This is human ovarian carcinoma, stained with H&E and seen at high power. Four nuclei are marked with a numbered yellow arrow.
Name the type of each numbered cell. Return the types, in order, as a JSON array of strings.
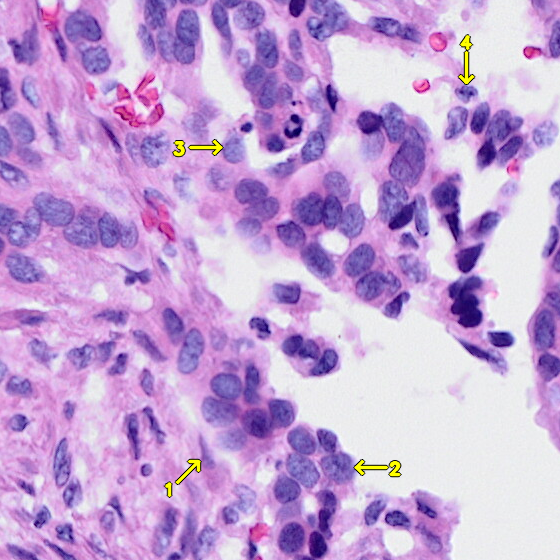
["fibroblast", "carcinoma cell", "carcinoma cell", "lymphocyte"]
